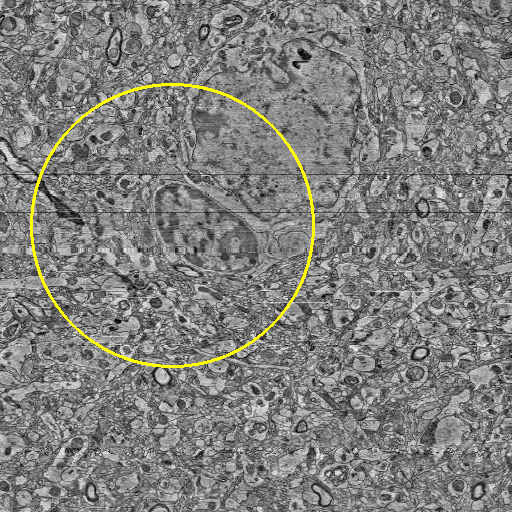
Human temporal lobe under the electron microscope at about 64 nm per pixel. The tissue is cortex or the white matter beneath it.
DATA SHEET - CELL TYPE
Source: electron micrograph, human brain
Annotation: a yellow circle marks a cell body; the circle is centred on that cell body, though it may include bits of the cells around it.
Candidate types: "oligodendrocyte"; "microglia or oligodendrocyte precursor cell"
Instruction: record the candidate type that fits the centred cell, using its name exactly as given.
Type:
microglia or oligodendrocyte precursor cell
